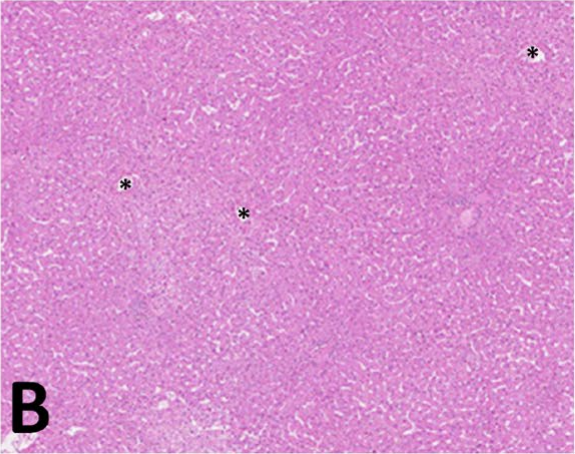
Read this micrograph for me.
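This is liver tissue at low magnification, where the pink strands are hepatic cords and the narrow white channels between them are sinusoids. The cords branch and join into a network that fills the field, and small purple nuclei are scattered along them. Here and there lie small, rounded, clear openings that are central veins, and the cords and sinusoids run up to them. At this power single cells are hard to tell apart, so it is the pattern of the tissue that stands out.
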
